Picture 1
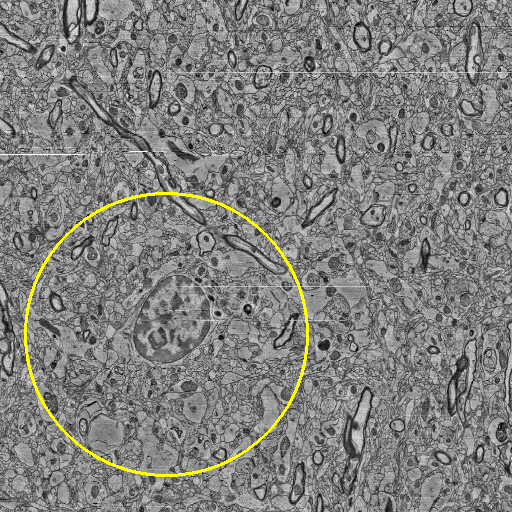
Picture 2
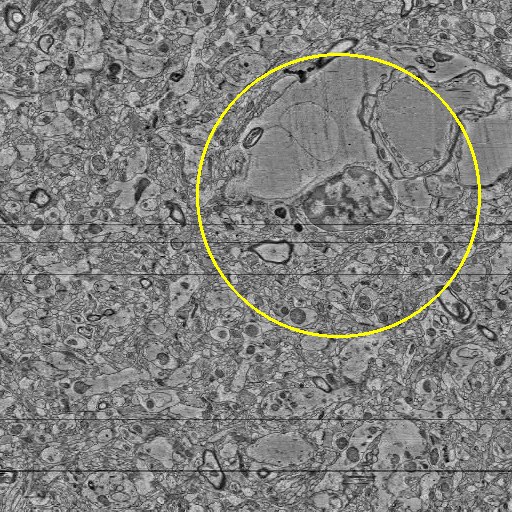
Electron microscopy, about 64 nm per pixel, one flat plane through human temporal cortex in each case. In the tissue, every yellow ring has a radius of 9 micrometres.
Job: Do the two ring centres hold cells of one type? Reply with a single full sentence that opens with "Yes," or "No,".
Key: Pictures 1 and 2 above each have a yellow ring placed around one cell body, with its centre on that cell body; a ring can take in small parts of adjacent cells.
Yes, the cells at the two ring centres are of one single type.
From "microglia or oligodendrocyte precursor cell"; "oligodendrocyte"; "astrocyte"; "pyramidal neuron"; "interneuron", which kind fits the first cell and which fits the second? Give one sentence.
Both rings mark a microglial cell or oligodendrocyte precursor cell, one in each picture.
